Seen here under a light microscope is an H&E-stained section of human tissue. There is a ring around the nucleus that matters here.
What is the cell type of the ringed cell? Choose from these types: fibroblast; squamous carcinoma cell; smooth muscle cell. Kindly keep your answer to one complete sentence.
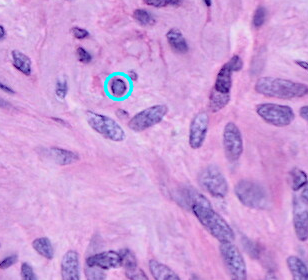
In the tissue at hand, the ringed cell is a smooth muscle cell.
